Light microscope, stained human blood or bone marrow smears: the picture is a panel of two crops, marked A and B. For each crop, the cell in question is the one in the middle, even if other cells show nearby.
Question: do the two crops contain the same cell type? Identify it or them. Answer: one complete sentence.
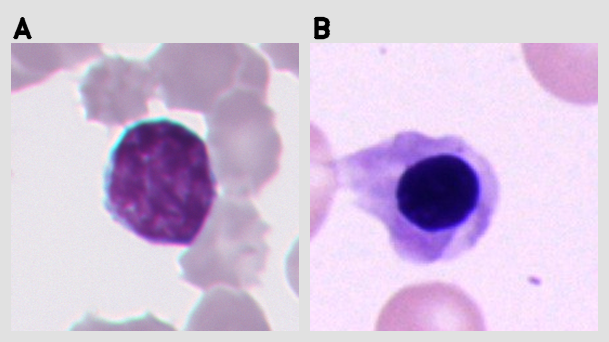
No, within crop A lies a lymphocyte, and within crop B lies an erythroblast.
